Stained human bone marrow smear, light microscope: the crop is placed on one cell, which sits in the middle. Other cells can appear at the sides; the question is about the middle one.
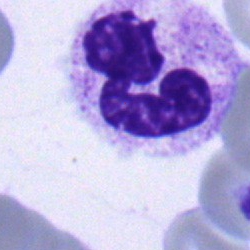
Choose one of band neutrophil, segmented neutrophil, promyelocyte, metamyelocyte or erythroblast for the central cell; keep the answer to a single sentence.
The cell occupying the middle of the crop is a segmented neutrophil.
